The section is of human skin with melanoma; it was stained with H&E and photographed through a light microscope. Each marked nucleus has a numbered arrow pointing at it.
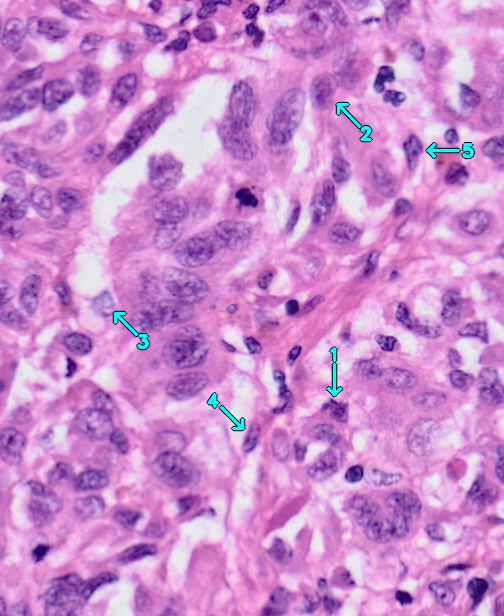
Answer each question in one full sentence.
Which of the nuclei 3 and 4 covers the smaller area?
Nucleus 4 is the smaller one; nucleus 3 covers about 1.5 times its area.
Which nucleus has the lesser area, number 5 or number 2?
The smaller nucleus is 5, and 2 covers roughly 1.5 times its area.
